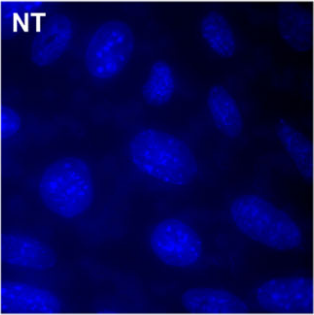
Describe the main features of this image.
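The nuclei are oval to slightly elongated, of fairly even size, and each has a finely speckled inner texture with a few brighter spots. They lie singly and fairly evenly spaced, without clumping or overlapping, so the layer looks moderately dense rather than crowded. Between the nuclei there is only a faint, diffuse blue haze, and no cell borders or processes can be made out. None of the nuclei looks shrunken, broken into fragments or very brightly condensed.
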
